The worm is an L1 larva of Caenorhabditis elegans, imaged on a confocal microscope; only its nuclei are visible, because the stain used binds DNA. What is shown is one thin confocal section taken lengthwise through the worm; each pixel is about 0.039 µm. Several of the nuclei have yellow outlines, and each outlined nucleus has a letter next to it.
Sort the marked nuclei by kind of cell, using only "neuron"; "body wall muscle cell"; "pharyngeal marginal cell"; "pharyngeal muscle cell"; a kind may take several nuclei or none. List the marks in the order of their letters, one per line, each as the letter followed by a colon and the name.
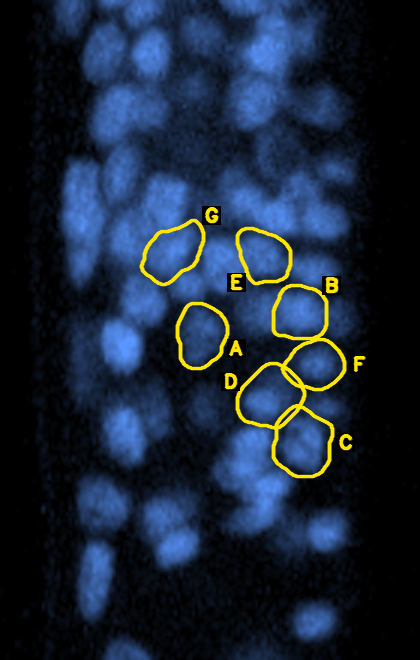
A: pharyngeal muscle cell
B: neuron
C: body wall muscle cell
D: pharyngeal marginal cell
E: neuron
F: neuron
G: pharyngeal muscle cell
